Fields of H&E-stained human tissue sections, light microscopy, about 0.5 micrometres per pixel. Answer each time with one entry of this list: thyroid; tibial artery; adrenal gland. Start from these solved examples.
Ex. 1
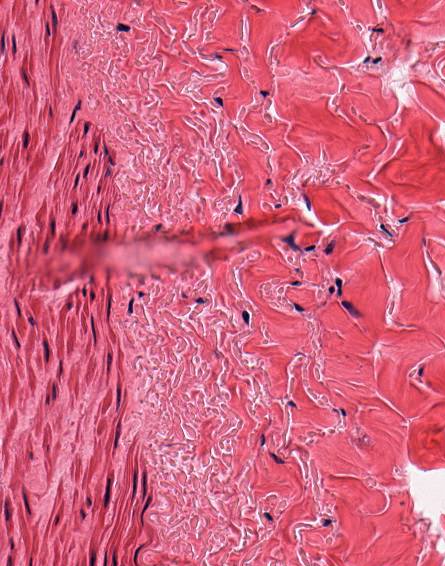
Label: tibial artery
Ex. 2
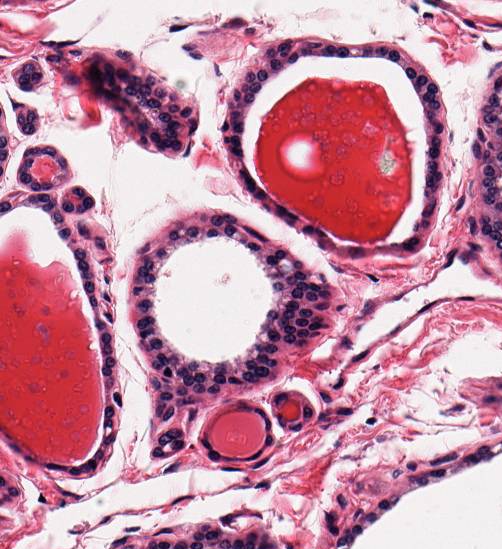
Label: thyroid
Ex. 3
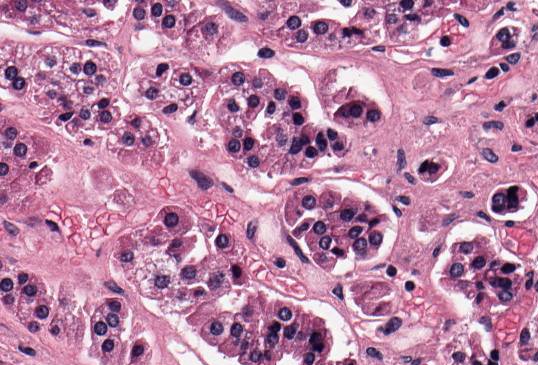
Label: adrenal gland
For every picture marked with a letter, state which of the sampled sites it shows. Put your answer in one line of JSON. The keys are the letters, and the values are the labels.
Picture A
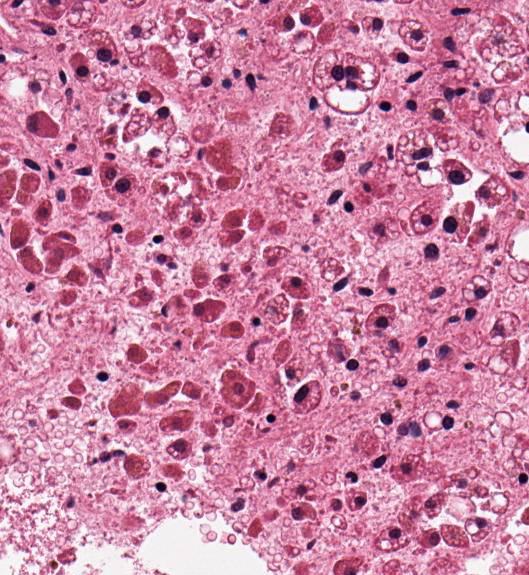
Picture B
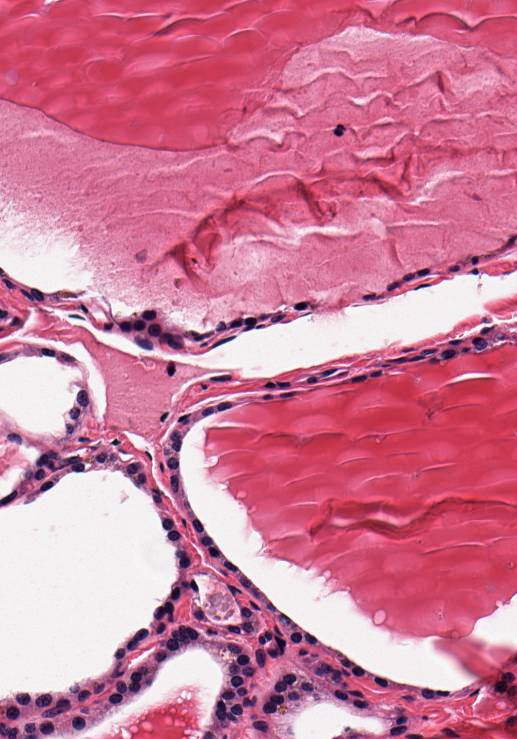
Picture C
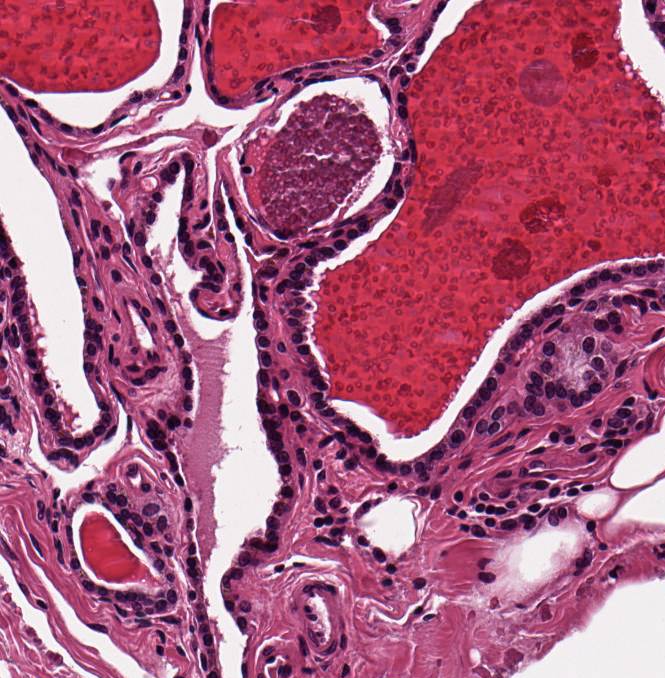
{"A": "adrenal gland", "B": "thyroid", "C": "thyroid"}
